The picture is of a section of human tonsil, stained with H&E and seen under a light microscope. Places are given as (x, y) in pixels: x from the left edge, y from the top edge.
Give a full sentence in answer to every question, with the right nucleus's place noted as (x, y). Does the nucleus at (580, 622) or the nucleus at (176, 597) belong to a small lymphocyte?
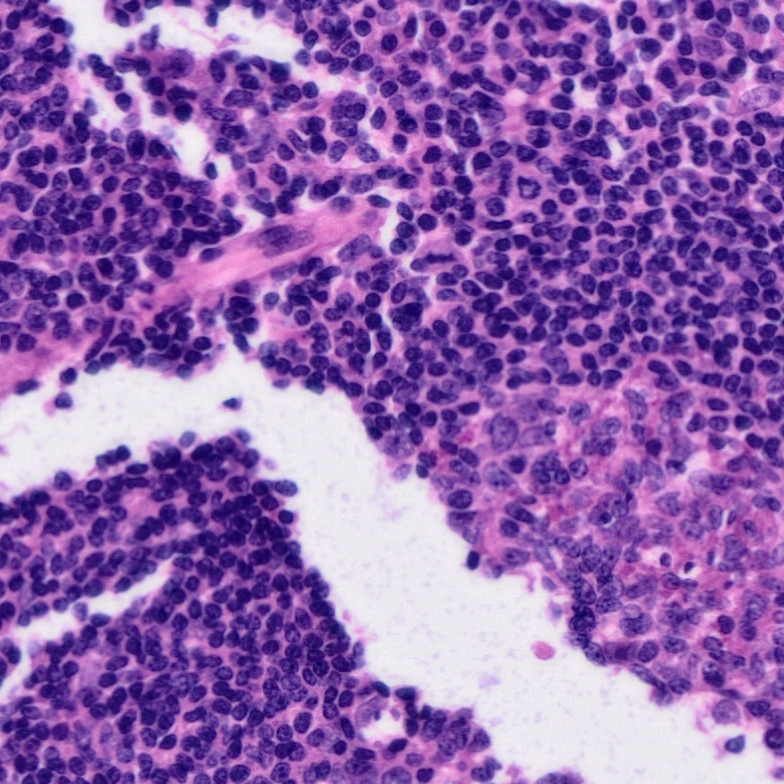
The nucleus at (176, 597) is the one that belongs to a small lymphocyte.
